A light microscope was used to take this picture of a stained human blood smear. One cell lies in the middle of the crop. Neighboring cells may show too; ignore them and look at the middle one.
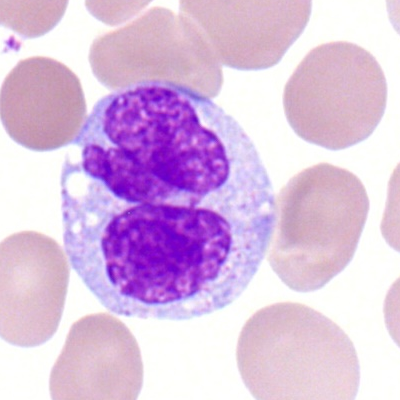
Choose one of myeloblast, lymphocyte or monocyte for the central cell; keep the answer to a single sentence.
For this crop, the cell in the middle is a monocyte.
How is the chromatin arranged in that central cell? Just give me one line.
Just so you know, its chromatin is coarsely clumped.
